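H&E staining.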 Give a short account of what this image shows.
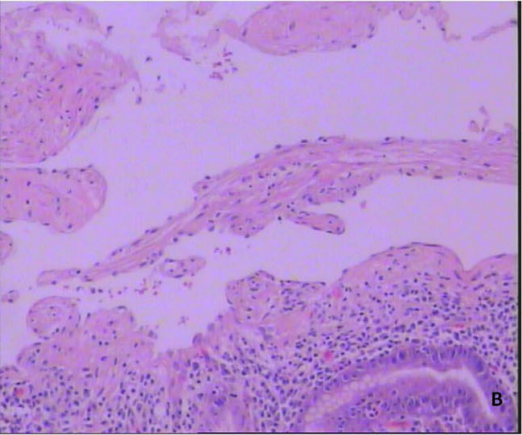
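Dilated, thin-walled vascular spaces separated by slender pink fibrous septa, with a few red blood cells in the lumens. Below them lies glandular epithelium with a densely cellular stroma of small round nuclei.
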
